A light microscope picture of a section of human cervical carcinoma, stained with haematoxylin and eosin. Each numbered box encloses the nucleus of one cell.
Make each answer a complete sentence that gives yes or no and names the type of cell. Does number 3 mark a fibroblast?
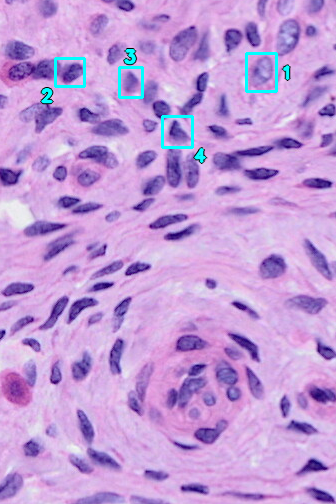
Yes, among the marked cells, the one with number 3 is a fibroblast.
